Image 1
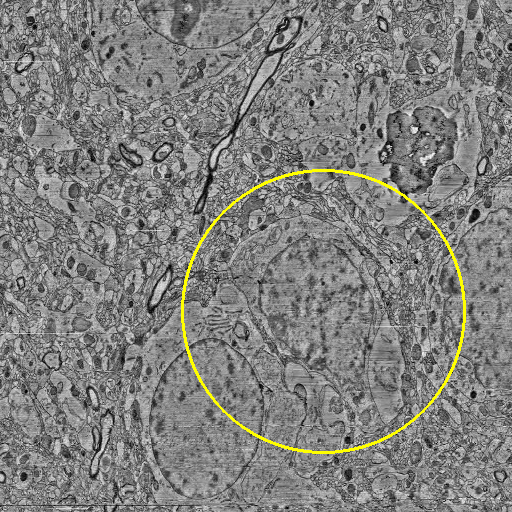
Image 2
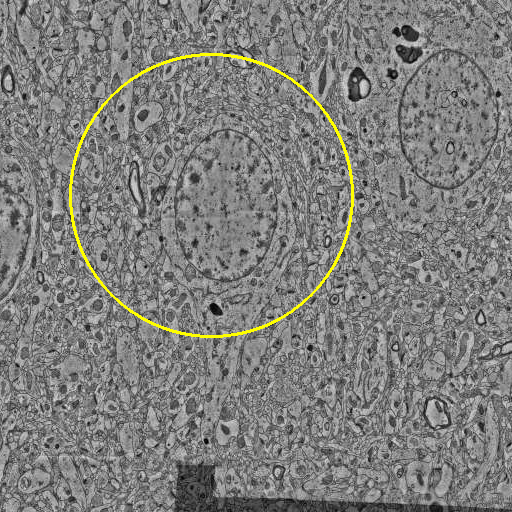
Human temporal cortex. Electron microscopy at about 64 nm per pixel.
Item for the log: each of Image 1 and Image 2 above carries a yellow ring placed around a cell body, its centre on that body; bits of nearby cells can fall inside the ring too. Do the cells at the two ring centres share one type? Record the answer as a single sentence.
No, the two cells at the ring centres in Image 1 and Image 2 are of two types.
